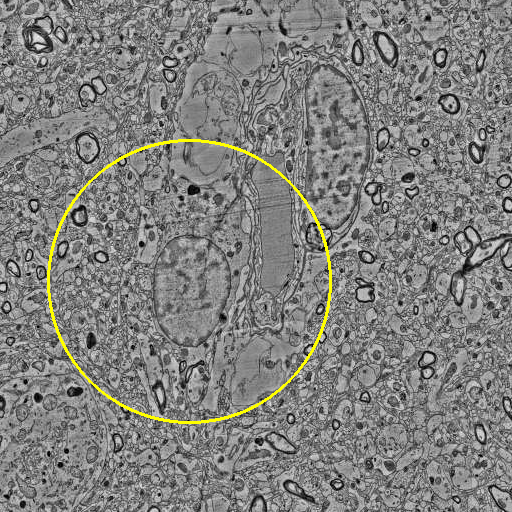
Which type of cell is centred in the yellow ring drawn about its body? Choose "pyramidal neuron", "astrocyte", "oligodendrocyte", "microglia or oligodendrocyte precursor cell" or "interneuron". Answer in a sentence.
The yellow ring surrounds the cell body of an oligodendrocyte.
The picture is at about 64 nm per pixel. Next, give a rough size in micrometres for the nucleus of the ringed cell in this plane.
Roughly 7 by 5 micrometres is the size of the nucleus in this plane.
